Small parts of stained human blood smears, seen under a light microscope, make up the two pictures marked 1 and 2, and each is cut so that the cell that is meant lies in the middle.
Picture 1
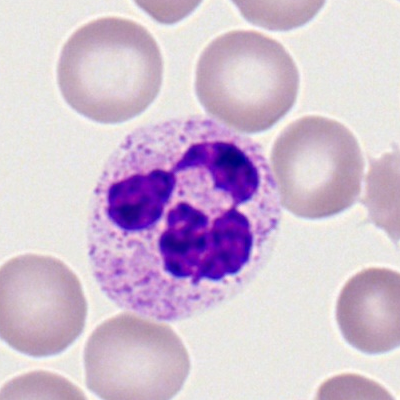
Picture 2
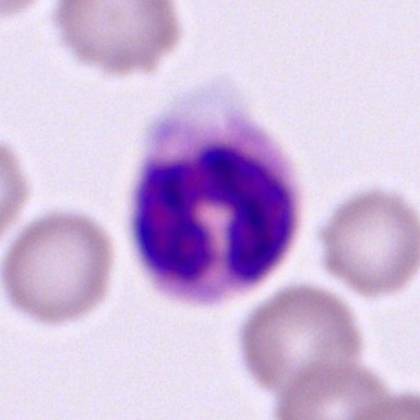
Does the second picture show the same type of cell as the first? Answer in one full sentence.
Yes, both cells are segmented neutrophils.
